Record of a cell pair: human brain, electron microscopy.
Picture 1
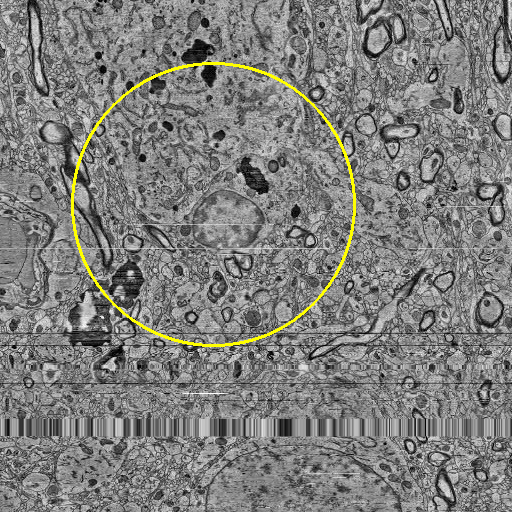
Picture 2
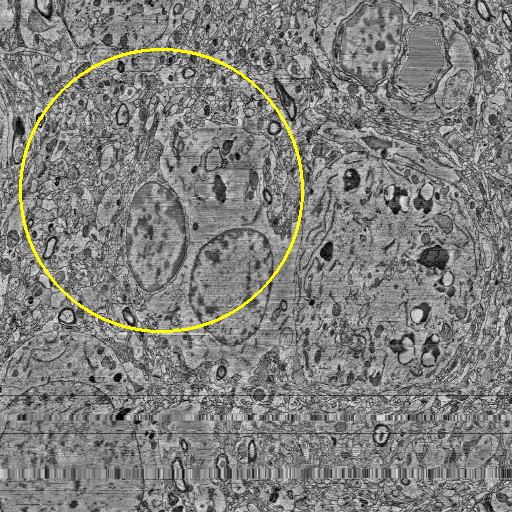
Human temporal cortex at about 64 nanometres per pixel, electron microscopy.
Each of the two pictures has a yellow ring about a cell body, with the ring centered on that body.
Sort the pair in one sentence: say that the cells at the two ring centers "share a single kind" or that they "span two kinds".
The cells centered in the rings of Pictures 1 and 2 span two kinds.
